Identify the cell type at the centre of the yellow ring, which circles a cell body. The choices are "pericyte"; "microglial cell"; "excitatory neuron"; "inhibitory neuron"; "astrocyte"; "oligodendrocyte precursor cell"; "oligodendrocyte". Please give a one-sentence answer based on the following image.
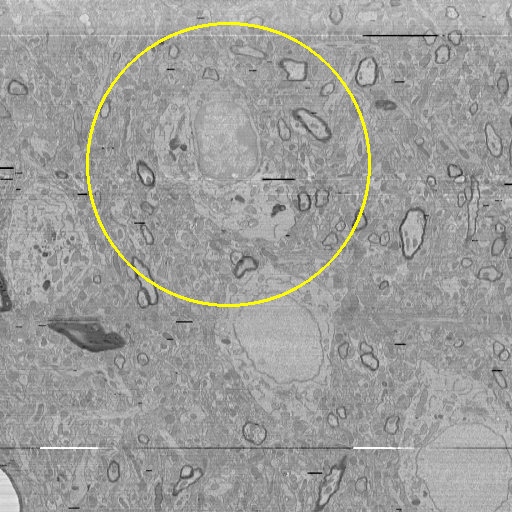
The cell marked by the ring is an oligodendrocyte.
